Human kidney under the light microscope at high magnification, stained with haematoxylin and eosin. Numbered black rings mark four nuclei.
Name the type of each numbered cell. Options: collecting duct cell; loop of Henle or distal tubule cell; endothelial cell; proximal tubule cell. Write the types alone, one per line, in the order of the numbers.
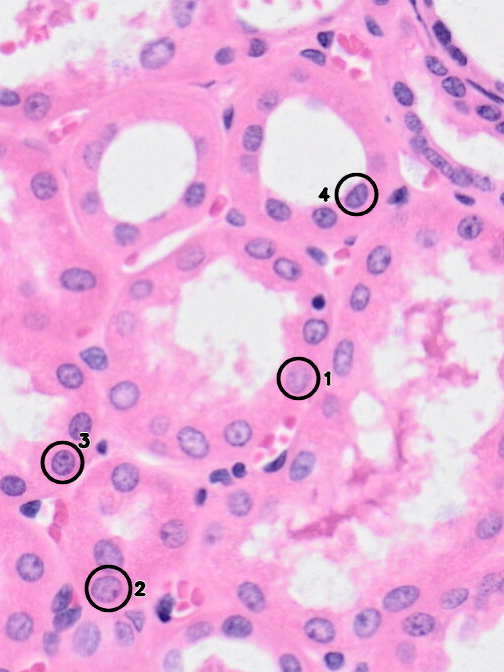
proximal tubule cell
proximal tubule cell
proximal tubule cell
loop of Henle or distal tubule cell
